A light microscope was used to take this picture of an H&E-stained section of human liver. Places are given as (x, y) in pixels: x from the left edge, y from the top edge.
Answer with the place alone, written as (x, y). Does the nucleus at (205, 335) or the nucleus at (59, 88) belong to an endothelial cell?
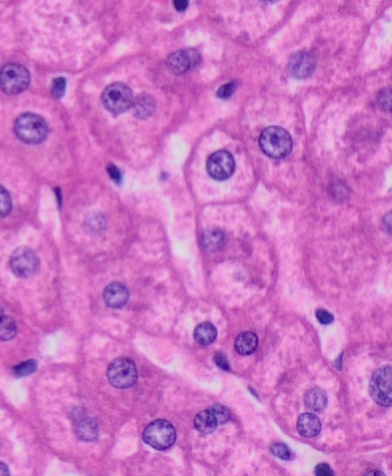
(59, 88)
